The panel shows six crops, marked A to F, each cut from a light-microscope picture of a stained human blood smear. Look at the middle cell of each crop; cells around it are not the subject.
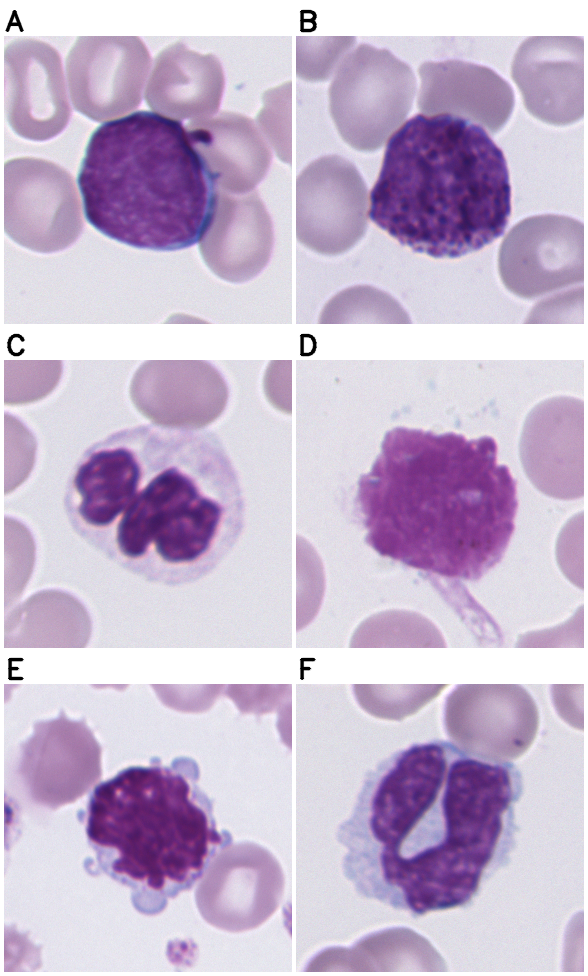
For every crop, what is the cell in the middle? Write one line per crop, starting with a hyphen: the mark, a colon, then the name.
- A: myeloblast
- B: basophil
- C: segmented neutrophil
- D: smudge cell
- E: typical lymphocyte
- F: monocyte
